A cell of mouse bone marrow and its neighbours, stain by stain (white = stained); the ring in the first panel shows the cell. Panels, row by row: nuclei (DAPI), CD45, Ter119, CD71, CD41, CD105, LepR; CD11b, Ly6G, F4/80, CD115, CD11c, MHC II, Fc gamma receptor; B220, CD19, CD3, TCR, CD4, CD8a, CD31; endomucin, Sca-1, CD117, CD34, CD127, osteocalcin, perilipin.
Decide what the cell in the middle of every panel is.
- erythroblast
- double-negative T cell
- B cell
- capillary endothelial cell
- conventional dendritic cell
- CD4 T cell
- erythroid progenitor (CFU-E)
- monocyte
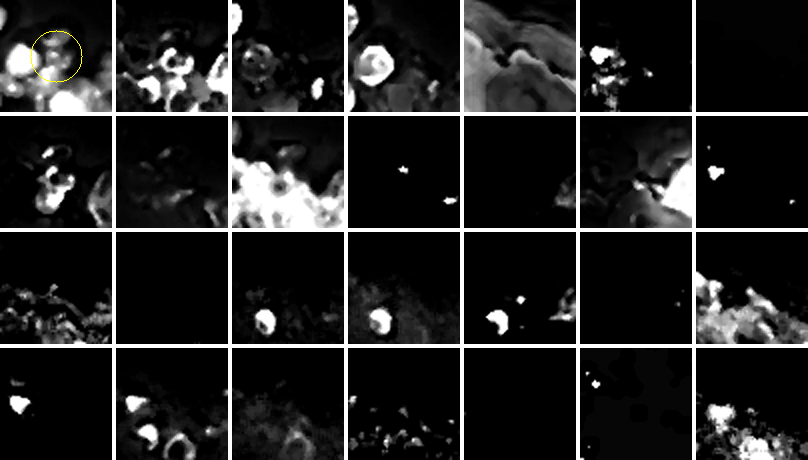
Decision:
monocyte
